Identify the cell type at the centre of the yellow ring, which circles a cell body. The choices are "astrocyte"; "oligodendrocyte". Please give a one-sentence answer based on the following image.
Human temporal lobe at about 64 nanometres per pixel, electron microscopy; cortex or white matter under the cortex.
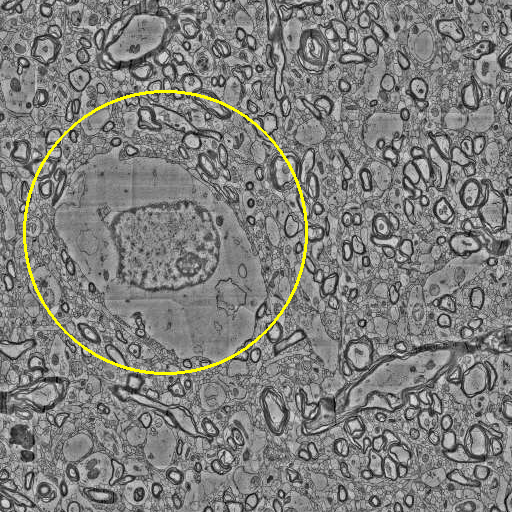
The cell marked by the ring is an astrocyte.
